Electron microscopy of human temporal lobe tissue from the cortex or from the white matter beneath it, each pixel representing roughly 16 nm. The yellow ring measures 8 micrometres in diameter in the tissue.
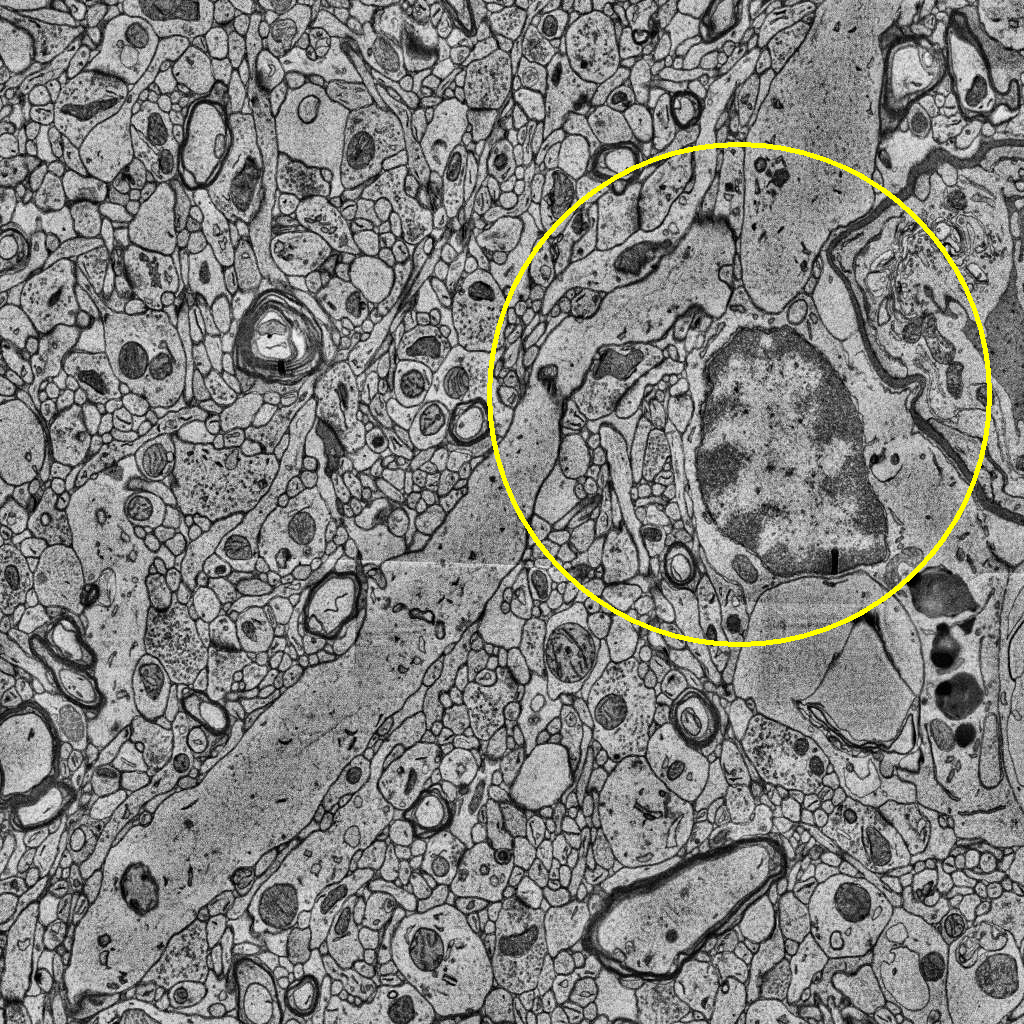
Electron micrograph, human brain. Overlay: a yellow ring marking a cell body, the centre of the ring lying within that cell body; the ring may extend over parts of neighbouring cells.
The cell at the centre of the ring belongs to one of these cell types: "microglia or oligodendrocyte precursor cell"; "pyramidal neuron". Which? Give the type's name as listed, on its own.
microglia or oligodendrocyte precursor cell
